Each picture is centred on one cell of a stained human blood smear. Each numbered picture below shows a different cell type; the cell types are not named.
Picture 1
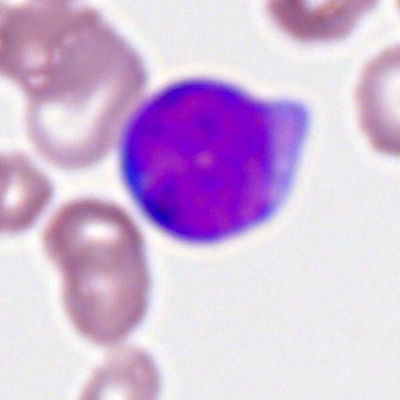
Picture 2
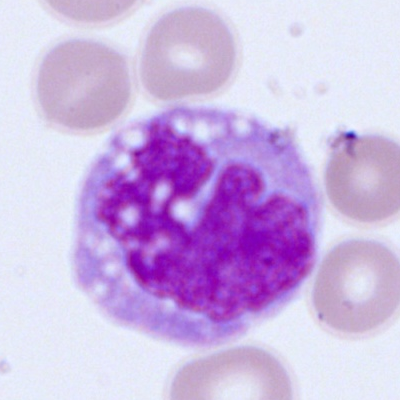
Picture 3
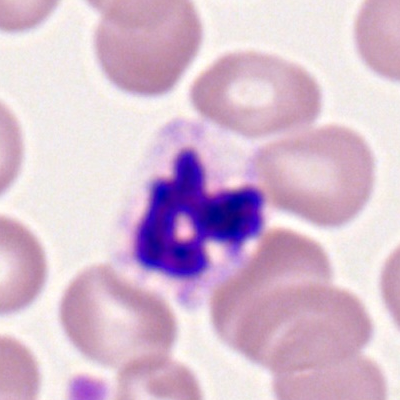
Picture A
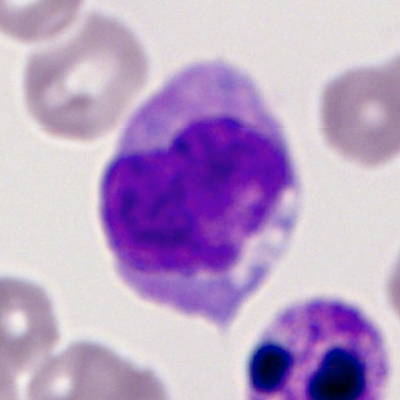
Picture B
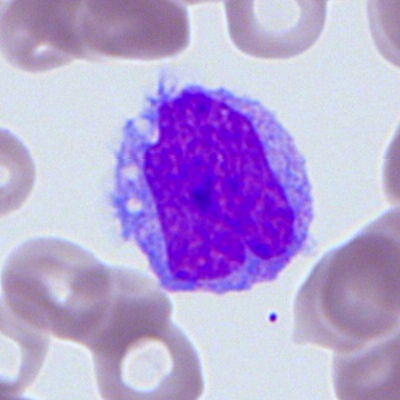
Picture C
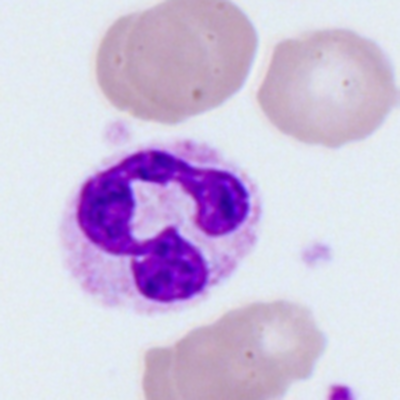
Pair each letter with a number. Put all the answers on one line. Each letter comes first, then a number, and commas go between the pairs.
A 2, B 2, C 3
